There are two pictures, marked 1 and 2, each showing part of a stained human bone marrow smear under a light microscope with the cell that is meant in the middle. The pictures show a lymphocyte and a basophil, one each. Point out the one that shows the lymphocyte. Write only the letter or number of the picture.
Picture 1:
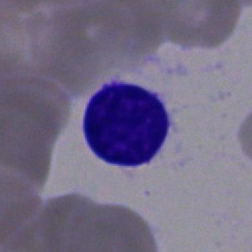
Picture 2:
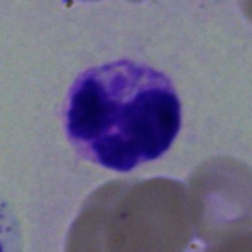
1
